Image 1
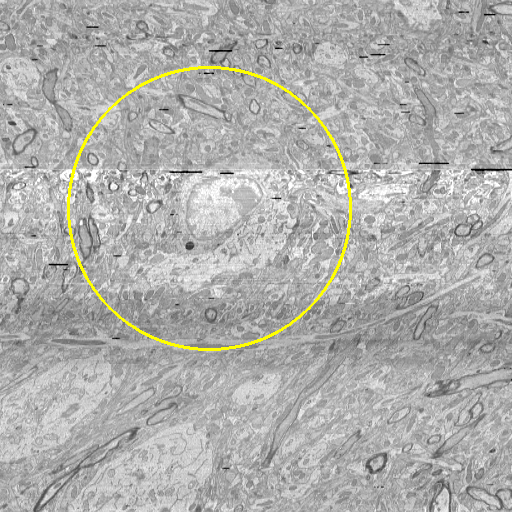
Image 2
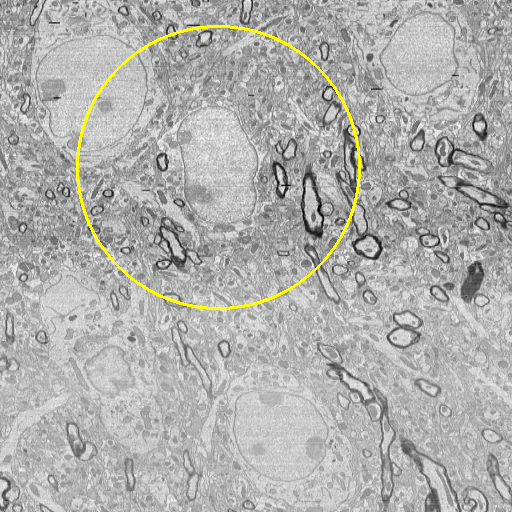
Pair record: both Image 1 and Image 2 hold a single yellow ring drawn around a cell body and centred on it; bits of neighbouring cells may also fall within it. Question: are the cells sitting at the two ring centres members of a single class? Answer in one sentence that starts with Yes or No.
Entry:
No, the ring-centre cells in Image 1 and Image 2 come from two classes.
